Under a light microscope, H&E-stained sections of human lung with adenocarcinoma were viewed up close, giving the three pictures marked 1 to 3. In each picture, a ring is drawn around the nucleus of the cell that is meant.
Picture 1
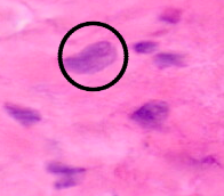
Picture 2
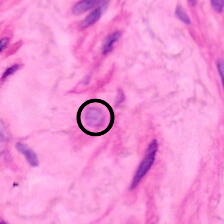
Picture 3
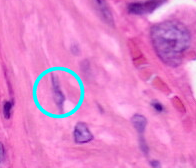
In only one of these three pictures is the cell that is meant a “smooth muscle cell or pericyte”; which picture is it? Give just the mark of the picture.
2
